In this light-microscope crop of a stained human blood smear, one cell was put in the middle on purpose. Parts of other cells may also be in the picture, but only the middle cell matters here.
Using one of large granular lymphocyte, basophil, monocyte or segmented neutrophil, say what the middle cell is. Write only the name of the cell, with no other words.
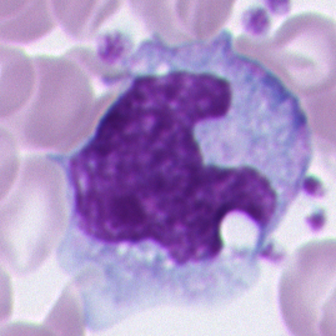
monocyte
